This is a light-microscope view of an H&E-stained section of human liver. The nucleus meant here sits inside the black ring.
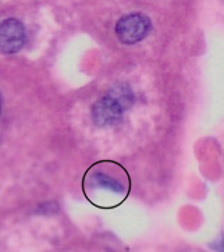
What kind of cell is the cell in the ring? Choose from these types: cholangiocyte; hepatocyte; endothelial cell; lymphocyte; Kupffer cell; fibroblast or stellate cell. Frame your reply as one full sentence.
It is as an endothelial cell that the cell in the ring is classified.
